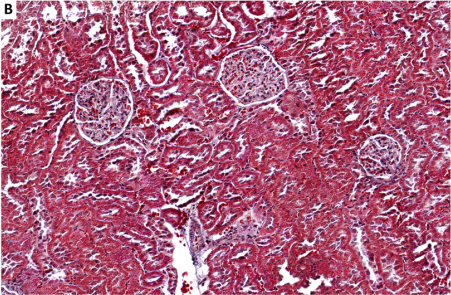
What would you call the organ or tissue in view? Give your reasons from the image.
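Three round glomerular tufts are each surrounded by a clear space and a capsule. Tubules with red-stained epithelium and narrow lumina fill the field.
Conclusion: kidney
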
